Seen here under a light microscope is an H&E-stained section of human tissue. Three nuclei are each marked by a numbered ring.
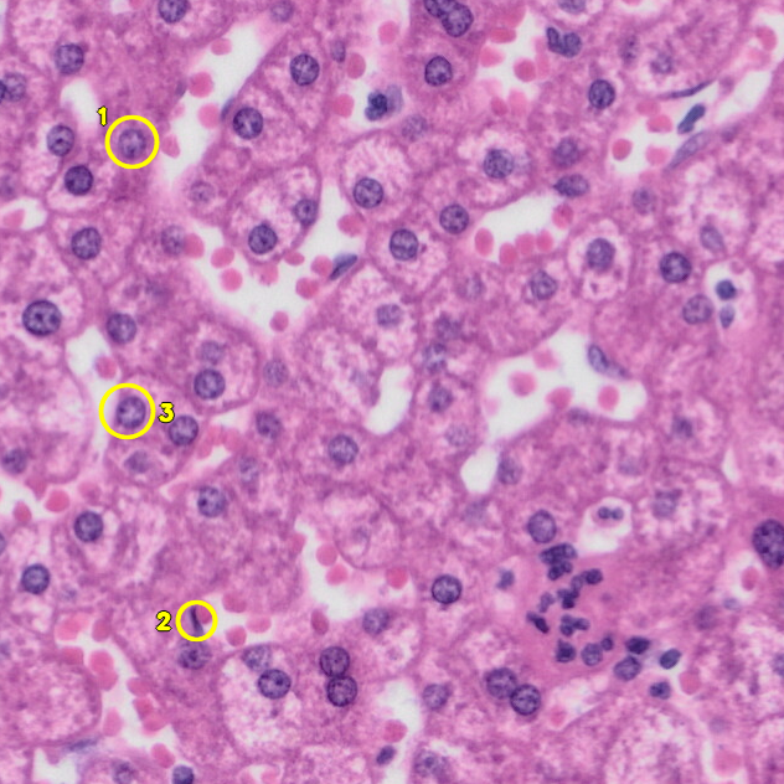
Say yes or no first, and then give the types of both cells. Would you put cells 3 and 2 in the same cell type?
No, unlike cell 2, which is an endothelial cell, cell 3 is a hepatocyte.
